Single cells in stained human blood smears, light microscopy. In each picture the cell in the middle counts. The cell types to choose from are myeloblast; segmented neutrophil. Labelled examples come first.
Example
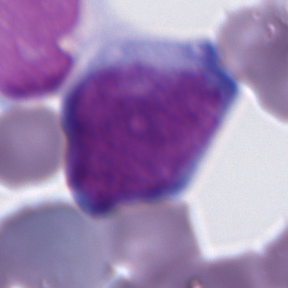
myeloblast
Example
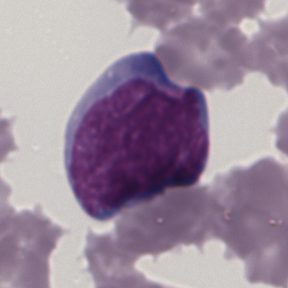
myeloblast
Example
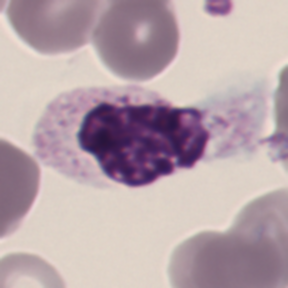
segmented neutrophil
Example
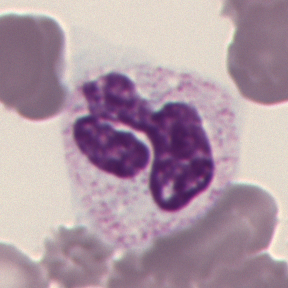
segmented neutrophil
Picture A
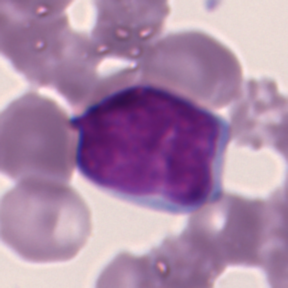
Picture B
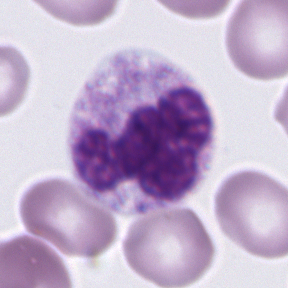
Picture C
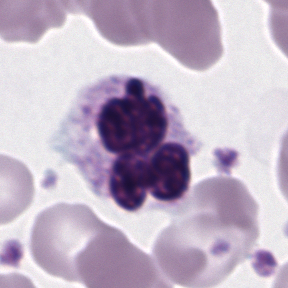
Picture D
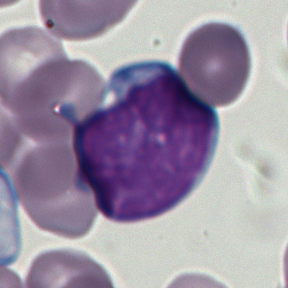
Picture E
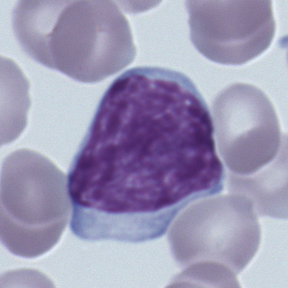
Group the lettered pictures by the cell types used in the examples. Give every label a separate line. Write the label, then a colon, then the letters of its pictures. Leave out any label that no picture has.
myeloblast: A, D, E
segmented neutrophil: B, C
